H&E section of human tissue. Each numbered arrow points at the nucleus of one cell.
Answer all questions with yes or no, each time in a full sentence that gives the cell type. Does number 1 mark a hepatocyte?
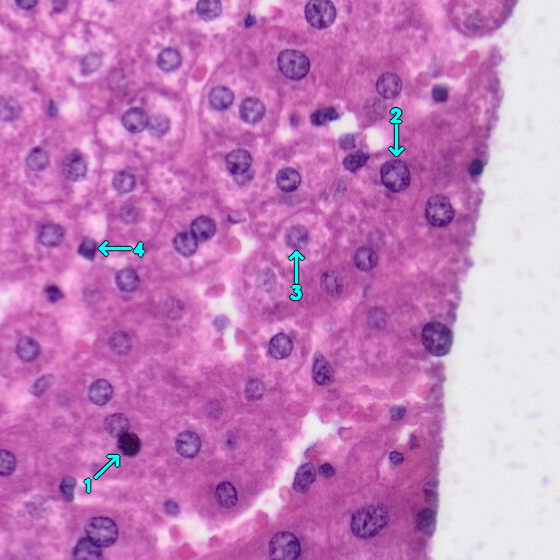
Yes, that is so; number 1 marks a hepatocyte.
